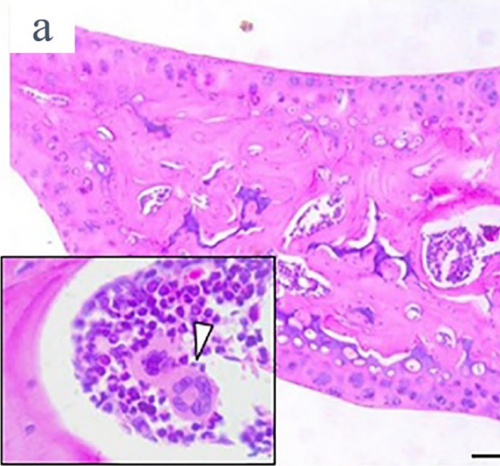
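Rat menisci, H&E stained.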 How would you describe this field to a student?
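The tissue is a band of pink matrix in which rounded and irregular cavities open up; several are filled with densely packed small cells with dark purple nuclei, the marrow. Along the upper and lower edges, rounded cells sit singly or in small groups within clear spaces in the matrix.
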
